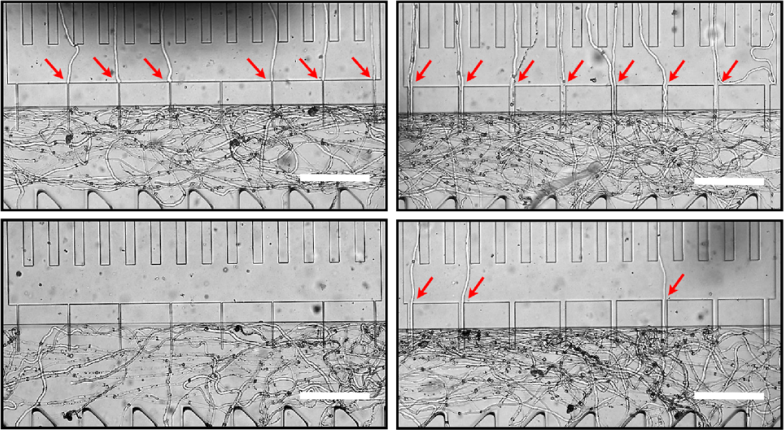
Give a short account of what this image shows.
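In the lower part of each image, a dense mat of long, slender tubes winds and crosses in all directions, with small dark particles scattered among them. Above this mat lies a row of narrow vertical slit channels cut in a clear barrier. Where a tube has found its way into a channel, it runs up through the slit as a single straight thread and continues beyond it into the open space above. The tubes have a smooth, even width along their length and show no division into separate cells, as is typical of a pollen tube growing from its tip.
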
